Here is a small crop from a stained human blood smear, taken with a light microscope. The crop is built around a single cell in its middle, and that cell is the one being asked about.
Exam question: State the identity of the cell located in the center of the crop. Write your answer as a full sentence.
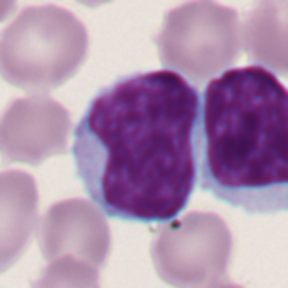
The cell centred in this crop is categorized as a typical lymphocyte.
